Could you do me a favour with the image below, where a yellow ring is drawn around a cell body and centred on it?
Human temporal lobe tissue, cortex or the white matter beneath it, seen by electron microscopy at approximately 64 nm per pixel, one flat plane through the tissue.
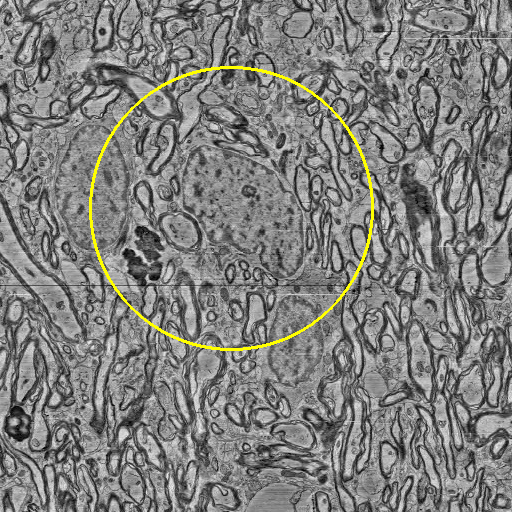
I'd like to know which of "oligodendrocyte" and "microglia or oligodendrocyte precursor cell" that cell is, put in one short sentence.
The cell at the ring's centre is a microglial cell or oligodendrocyte precursor cell.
